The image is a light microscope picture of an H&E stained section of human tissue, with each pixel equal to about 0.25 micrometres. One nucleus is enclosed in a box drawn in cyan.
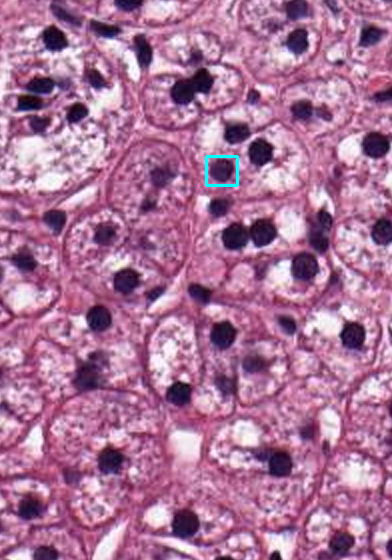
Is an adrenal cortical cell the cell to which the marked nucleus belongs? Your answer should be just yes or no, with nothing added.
yes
